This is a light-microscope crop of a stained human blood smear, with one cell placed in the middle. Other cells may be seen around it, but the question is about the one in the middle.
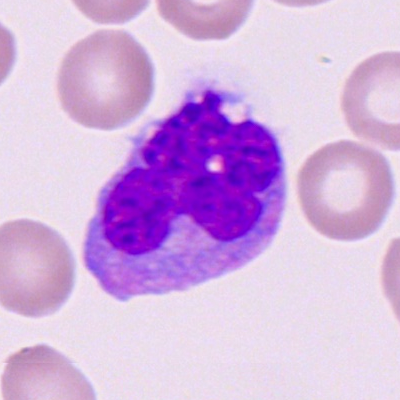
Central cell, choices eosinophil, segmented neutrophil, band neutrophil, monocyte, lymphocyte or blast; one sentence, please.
In short, the cell at the center is a monocyte.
